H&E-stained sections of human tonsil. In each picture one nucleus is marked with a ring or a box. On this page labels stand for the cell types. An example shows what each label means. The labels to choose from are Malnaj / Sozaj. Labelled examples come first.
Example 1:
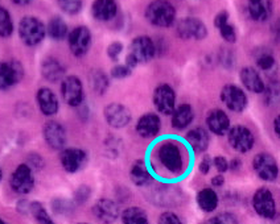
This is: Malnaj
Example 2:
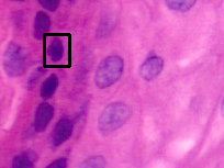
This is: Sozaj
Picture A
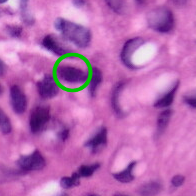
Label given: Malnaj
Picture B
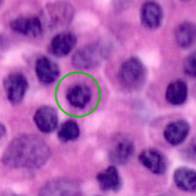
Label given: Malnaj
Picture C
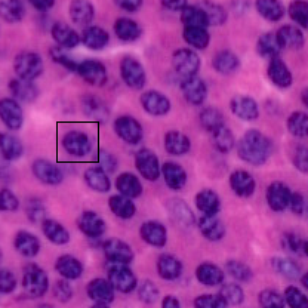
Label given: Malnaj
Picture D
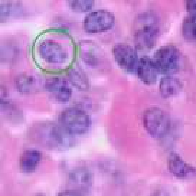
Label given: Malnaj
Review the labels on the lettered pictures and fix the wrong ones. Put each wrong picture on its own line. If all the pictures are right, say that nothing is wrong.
A: Sozaj, not Malnaj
